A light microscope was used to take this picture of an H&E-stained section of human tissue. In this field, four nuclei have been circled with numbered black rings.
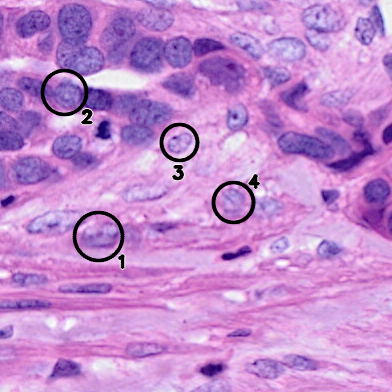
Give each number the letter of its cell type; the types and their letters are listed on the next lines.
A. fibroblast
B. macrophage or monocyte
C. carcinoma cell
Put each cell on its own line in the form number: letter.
1: A
2: C
3: B
4: A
